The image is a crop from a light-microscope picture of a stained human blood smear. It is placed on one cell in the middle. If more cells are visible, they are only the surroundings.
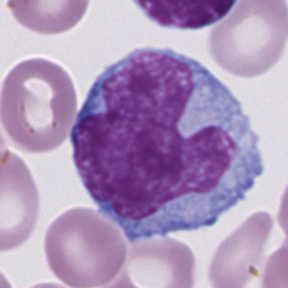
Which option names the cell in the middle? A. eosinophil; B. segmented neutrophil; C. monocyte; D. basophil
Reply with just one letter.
C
